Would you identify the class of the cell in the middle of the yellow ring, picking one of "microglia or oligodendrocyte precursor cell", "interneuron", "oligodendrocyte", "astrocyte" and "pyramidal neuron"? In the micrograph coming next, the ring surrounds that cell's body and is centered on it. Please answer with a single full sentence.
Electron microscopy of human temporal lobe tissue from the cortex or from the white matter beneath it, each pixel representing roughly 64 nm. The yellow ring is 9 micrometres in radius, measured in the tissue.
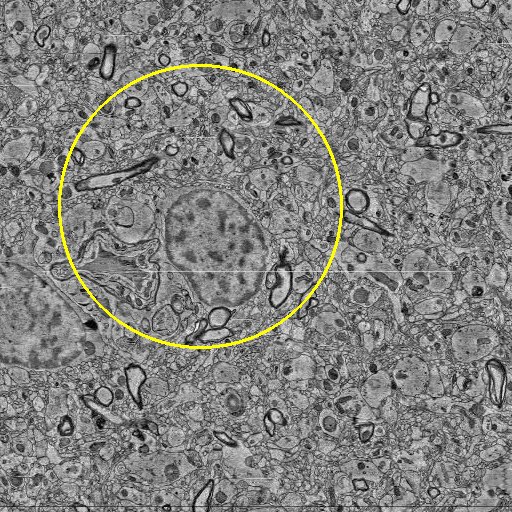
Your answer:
In the micrograph, it is an oligodendrocyte whose body lies at the ring's center.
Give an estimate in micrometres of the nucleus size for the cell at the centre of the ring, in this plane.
Approximately 8 micrometres long and 6 micrometres wide, in this plane.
